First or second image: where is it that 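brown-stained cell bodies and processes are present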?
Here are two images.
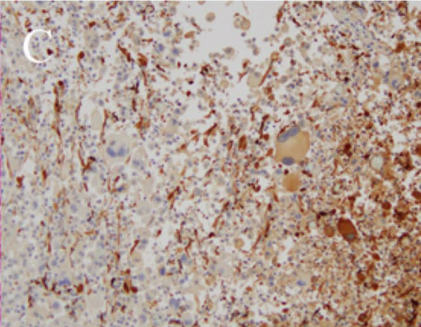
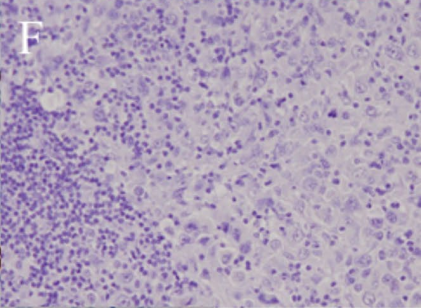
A: the first image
